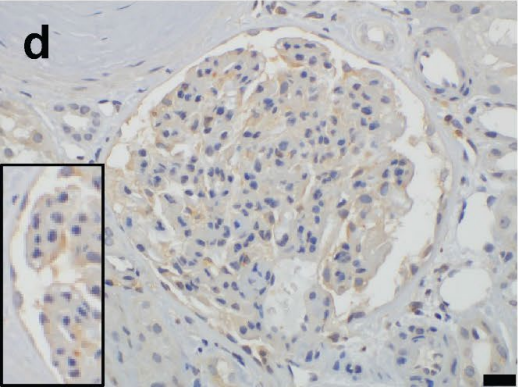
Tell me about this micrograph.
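This is a large kidney glomerulus whose tuft is crowded with blue nuclei and pale matrix between the capillary loops, so that few loops stand open. Brown stain is only faint along the loops and the capsule lining, which look mostly pale tan. A clear space lies between the tuft and the capsule on one side. Around it lie tubules and, at the upper left, pale fibrous tissue.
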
